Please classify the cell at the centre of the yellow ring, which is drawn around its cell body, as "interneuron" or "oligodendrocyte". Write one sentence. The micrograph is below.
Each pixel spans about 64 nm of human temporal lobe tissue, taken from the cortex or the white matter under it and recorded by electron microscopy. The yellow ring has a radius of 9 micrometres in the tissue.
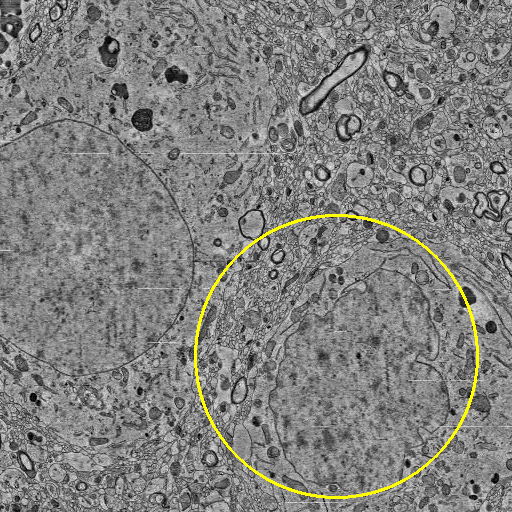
The cell at the ring's centre is classified as an interneuron.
